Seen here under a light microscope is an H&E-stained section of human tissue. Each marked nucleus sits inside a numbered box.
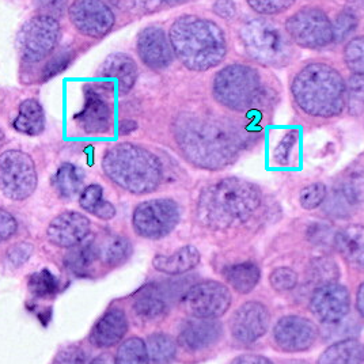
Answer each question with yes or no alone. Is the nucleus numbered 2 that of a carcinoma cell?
no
